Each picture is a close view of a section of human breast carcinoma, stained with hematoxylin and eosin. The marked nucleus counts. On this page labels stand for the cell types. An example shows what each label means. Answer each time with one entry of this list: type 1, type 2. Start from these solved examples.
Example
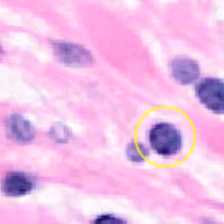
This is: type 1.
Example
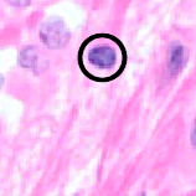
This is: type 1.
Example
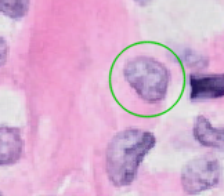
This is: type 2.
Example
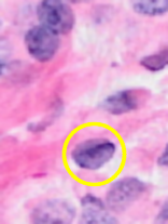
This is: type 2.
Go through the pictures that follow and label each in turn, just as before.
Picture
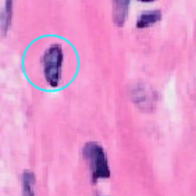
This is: type 1.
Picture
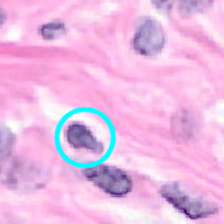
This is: type 1.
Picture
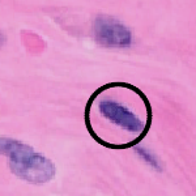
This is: type 1.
